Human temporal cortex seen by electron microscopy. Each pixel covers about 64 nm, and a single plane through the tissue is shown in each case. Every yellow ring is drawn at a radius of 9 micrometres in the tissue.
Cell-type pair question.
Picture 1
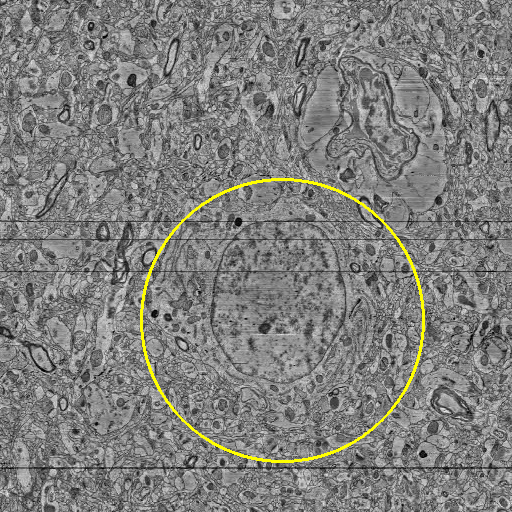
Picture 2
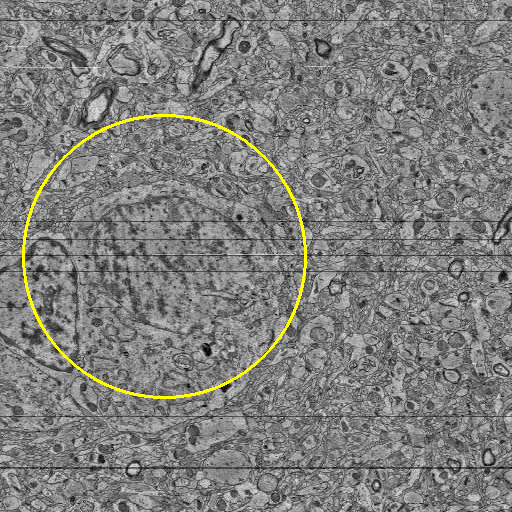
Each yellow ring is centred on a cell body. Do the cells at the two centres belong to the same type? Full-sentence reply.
Yes, the two cells belong to the same type.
